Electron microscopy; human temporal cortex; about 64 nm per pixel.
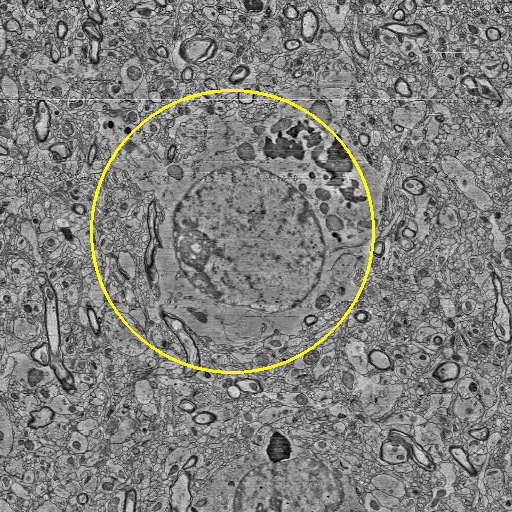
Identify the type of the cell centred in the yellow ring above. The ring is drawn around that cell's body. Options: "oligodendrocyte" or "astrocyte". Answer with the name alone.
astrocyte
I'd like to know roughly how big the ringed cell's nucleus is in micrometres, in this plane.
In this plane, approximately 10 micrometres across.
